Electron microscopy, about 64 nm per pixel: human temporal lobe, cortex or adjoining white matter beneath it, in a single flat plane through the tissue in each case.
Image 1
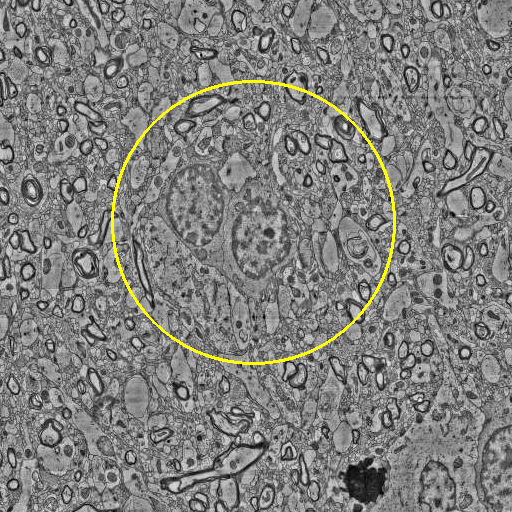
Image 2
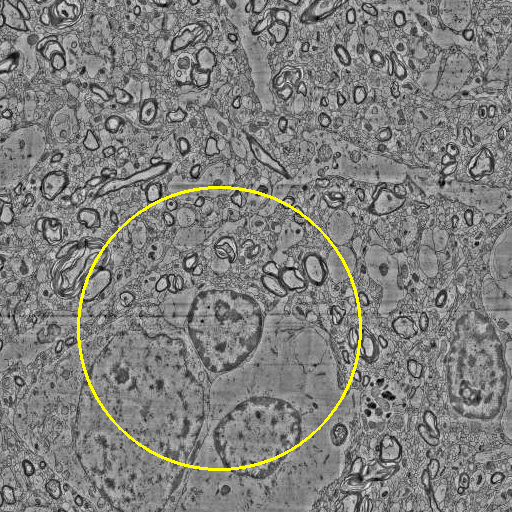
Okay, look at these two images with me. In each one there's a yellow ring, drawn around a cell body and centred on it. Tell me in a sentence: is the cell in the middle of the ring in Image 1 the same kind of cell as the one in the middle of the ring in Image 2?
No, they're two kinds of cell.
